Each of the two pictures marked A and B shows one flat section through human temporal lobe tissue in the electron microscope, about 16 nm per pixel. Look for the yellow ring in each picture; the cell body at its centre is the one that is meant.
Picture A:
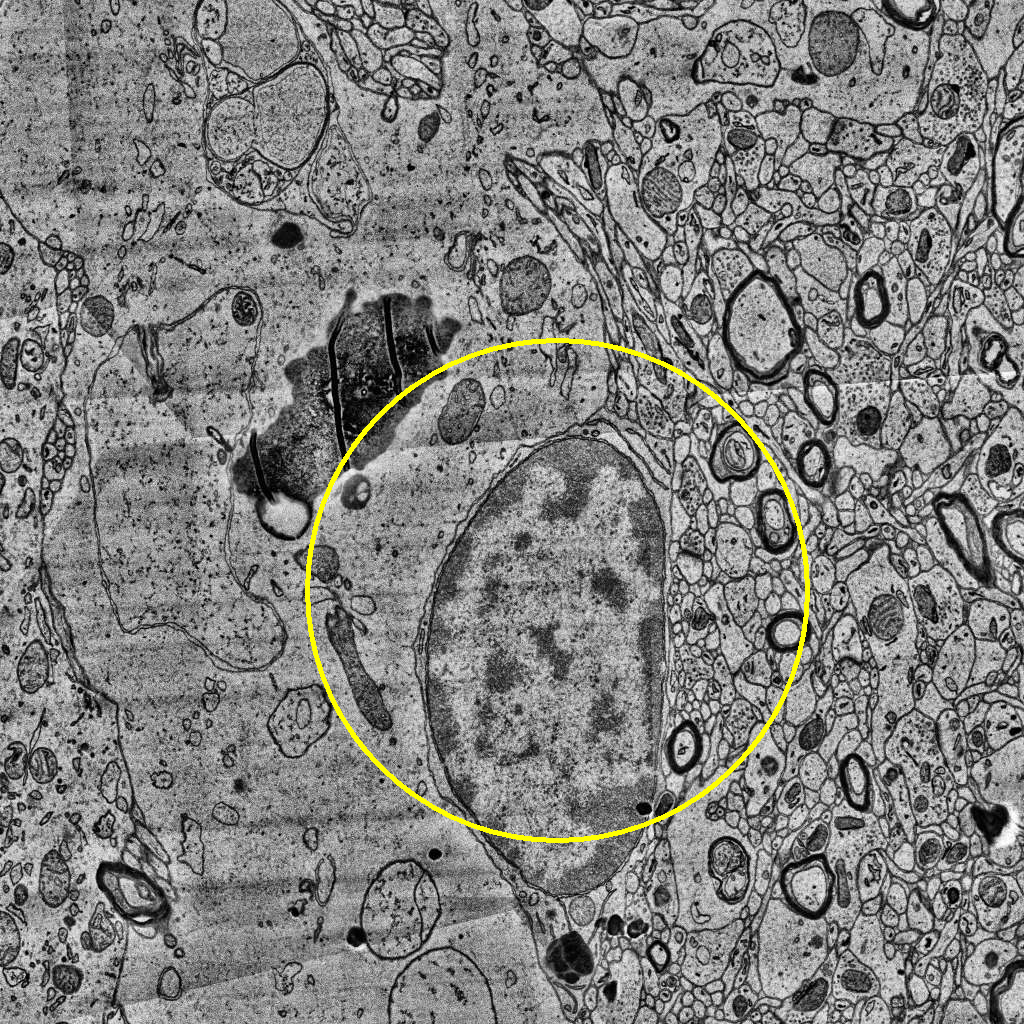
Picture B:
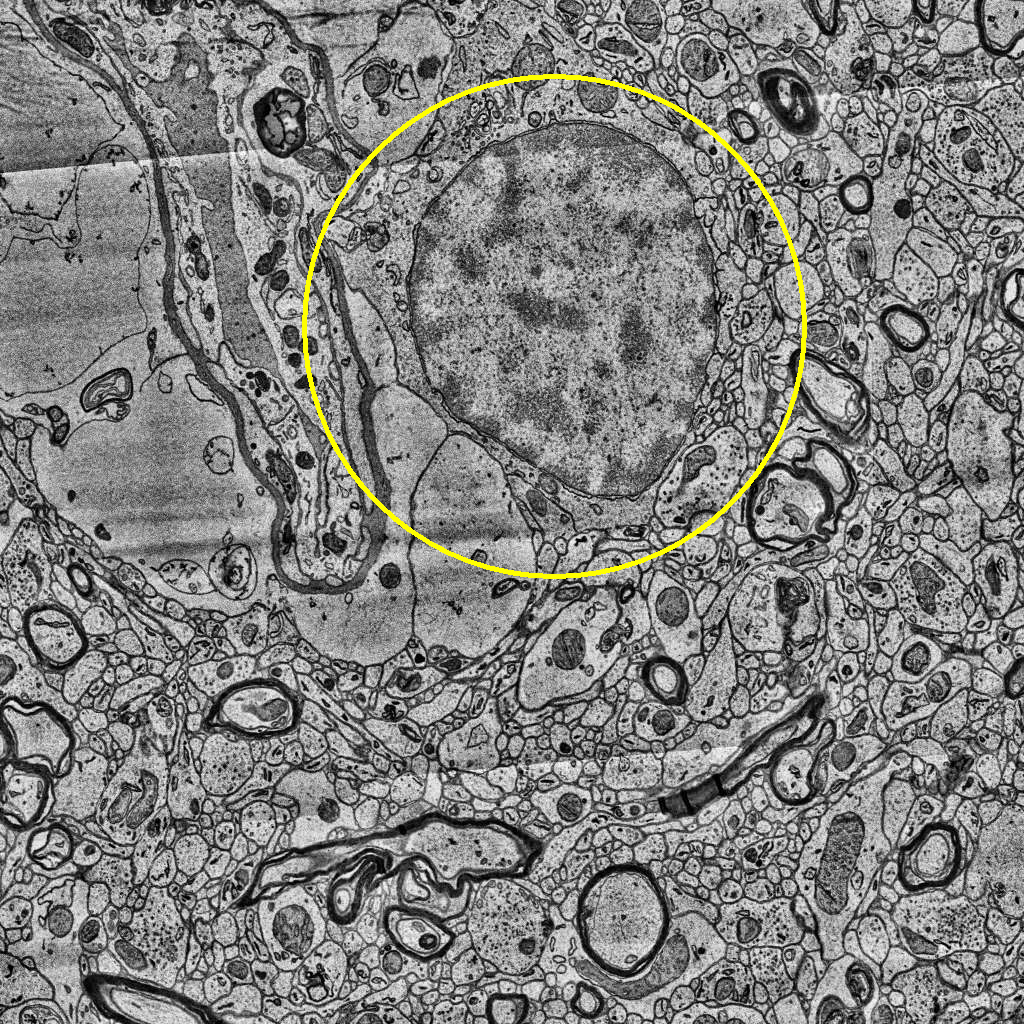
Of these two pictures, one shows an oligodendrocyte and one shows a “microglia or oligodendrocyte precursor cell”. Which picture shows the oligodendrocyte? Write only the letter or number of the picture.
B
